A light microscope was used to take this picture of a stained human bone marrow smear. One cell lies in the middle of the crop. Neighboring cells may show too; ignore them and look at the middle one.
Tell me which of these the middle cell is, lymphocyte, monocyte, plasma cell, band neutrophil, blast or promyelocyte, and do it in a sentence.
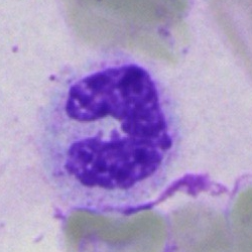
The cell at the middle of the frame should be recorded as a band neutrophil.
